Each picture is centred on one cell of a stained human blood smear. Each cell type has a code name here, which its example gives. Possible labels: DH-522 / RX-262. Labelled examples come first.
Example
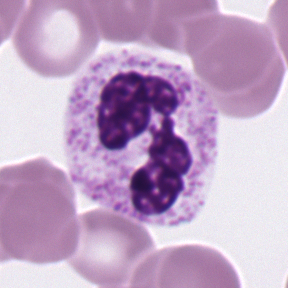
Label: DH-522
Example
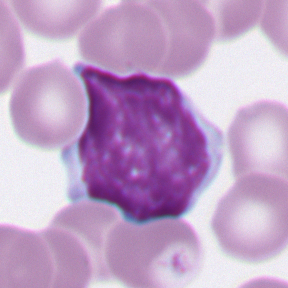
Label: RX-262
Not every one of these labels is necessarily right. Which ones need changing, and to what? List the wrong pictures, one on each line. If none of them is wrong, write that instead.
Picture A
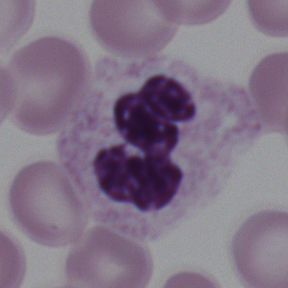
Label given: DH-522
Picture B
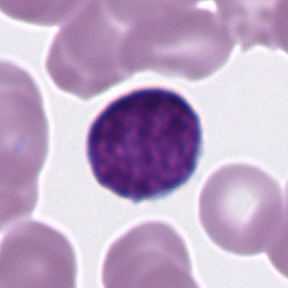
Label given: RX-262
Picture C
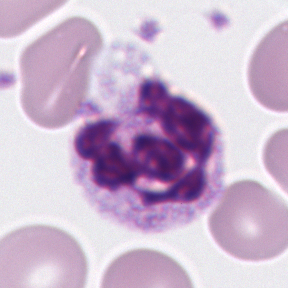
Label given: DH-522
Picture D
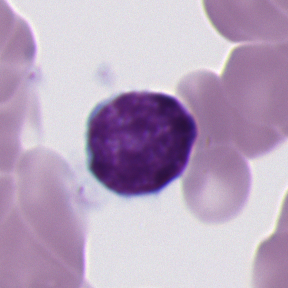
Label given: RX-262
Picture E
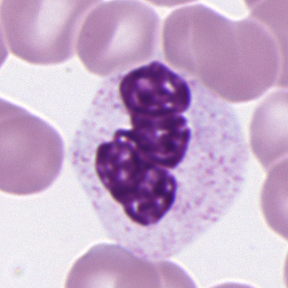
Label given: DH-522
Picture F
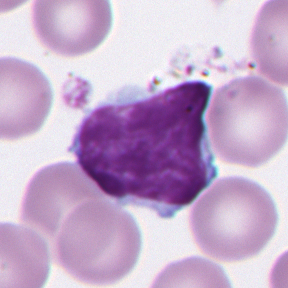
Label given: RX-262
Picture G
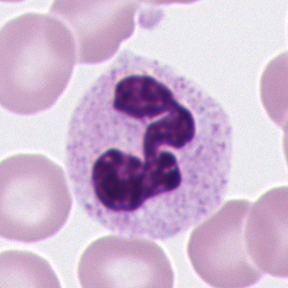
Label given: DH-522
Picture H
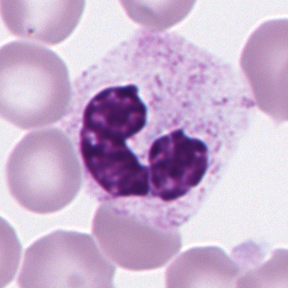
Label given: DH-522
None of the labels needs changing.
